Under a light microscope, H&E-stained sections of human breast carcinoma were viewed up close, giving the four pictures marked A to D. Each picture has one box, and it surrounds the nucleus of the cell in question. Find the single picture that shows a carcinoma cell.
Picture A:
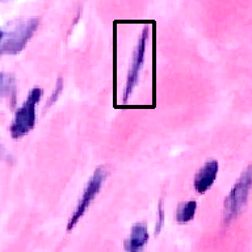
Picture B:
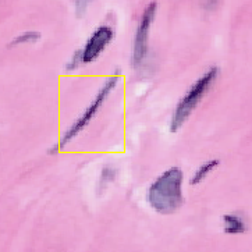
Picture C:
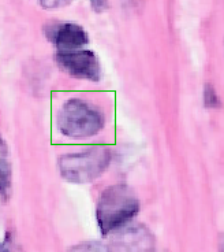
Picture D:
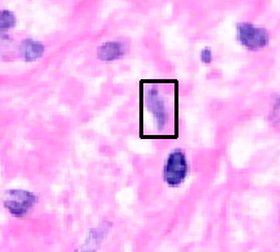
C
